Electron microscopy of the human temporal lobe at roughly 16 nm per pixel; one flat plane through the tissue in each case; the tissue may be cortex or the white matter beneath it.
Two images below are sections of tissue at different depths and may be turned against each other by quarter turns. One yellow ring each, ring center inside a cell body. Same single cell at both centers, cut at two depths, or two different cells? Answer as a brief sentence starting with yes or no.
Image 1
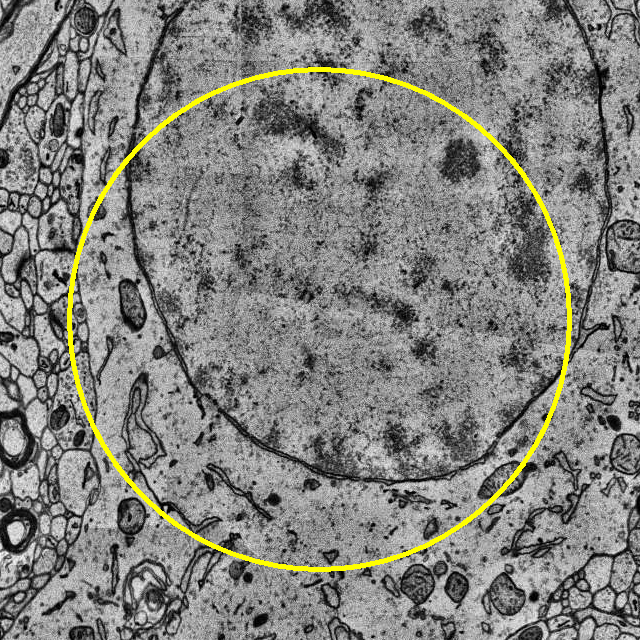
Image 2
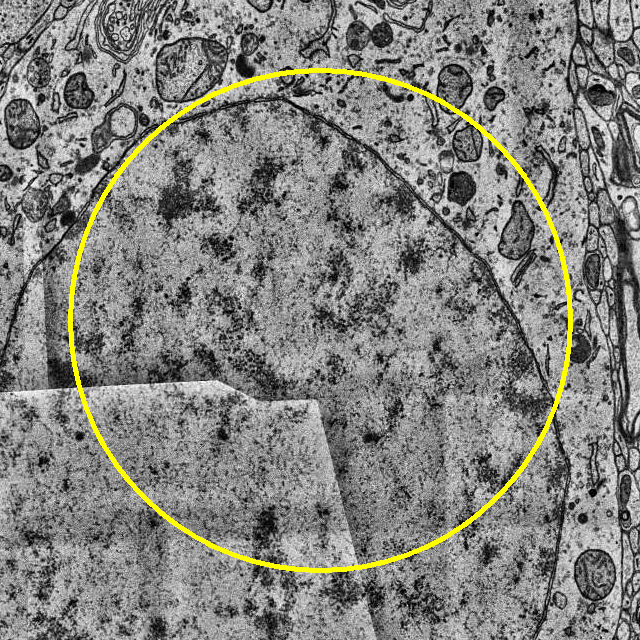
Yes, both circles in yellow pick out the same cell.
